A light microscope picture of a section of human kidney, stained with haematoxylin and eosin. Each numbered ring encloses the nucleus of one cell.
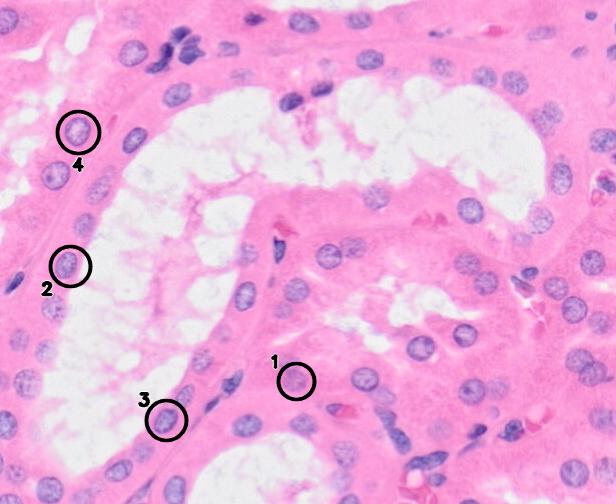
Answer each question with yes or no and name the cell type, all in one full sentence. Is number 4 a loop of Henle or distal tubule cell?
No, cell 4 is classified as a proximal tubule cell rather than a loop of Henle or distal tubule cell.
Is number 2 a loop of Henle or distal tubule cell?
Yes, the cell at marker 2 is a loop of Henle or distal tubule cell.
